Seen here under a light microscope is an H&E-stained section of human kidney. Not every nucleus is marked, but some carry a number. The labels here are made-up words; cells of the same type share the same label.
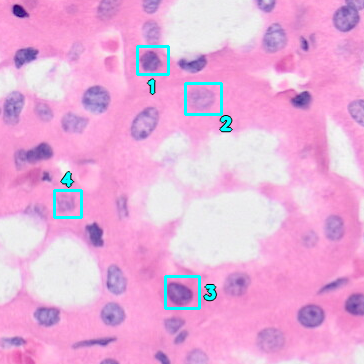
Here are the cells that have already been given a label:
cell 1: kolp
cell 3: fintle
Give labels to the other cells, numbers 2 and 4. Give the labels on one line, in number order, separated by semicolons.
fintle; kolp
